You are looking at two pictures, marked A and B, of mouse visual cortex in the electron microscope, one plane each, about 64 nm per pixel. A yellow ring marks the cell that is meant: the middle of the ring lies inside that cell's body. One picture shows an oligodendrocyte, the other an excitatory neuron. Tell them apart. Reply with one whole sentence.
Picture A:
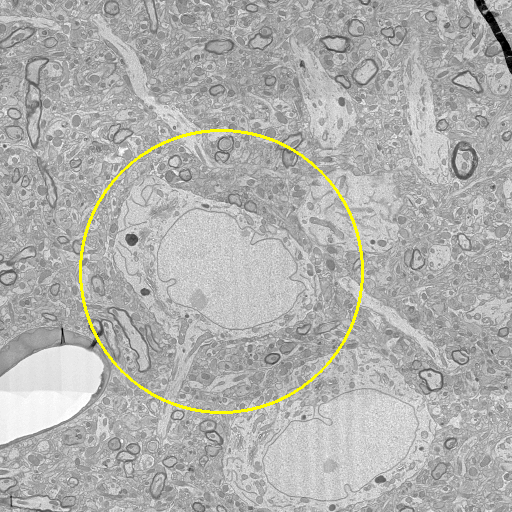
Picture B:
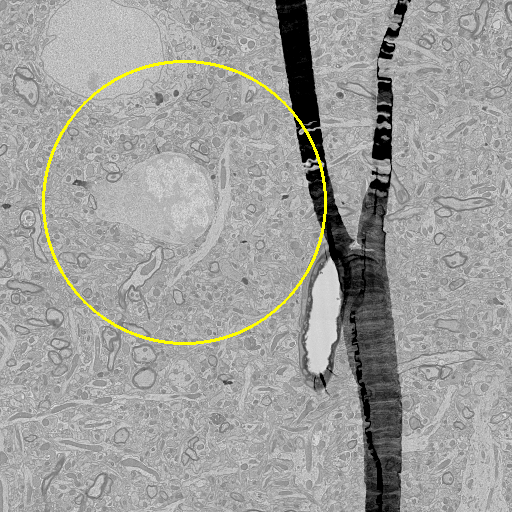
In picture A the cell is an excitatory neuron; in picture B, an oligodendrocyte.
